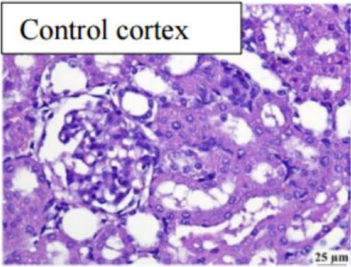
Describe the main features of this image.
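This renal cortex shows a glomerulus, a rounded tuft of capillaries with many nuclei, inside a clear space and thin capsule, surrounded by tubules. The tubules are lined by cells with pink cytoplasm and round nuclei around open lumens, and no cellular infiltrate is seen.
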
